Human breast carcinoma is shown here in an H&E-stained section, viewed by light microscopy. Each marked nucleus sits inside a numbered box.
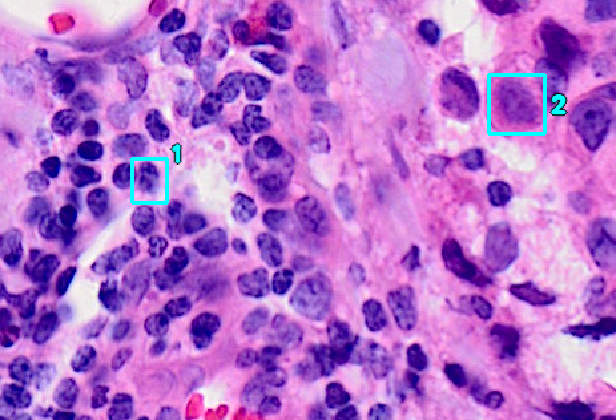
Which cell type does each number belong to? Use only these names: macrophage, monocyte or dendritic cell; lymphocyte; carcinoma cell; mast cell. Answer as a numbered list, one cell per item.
1. lymphocyte
2. carcinoma cell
